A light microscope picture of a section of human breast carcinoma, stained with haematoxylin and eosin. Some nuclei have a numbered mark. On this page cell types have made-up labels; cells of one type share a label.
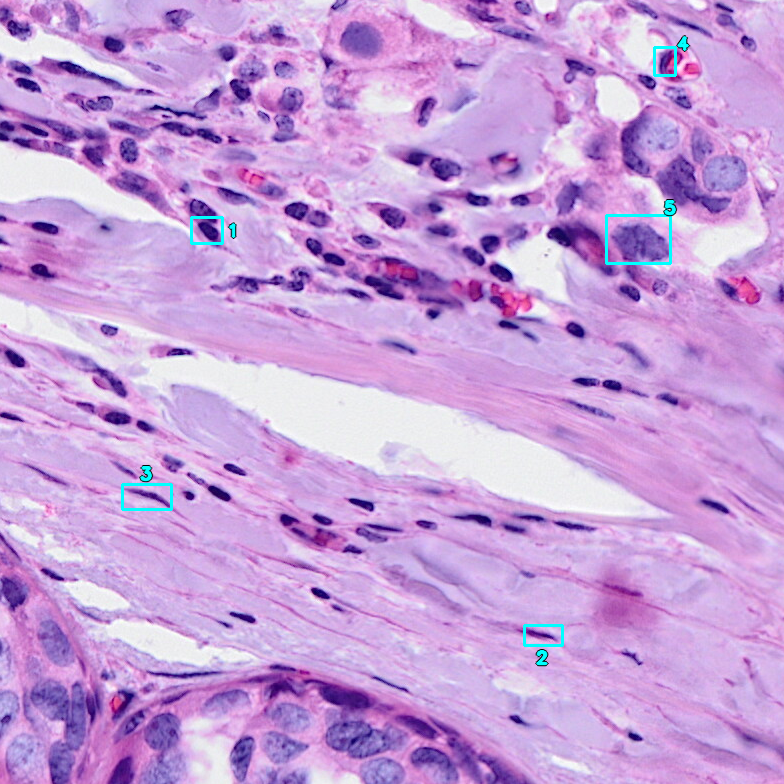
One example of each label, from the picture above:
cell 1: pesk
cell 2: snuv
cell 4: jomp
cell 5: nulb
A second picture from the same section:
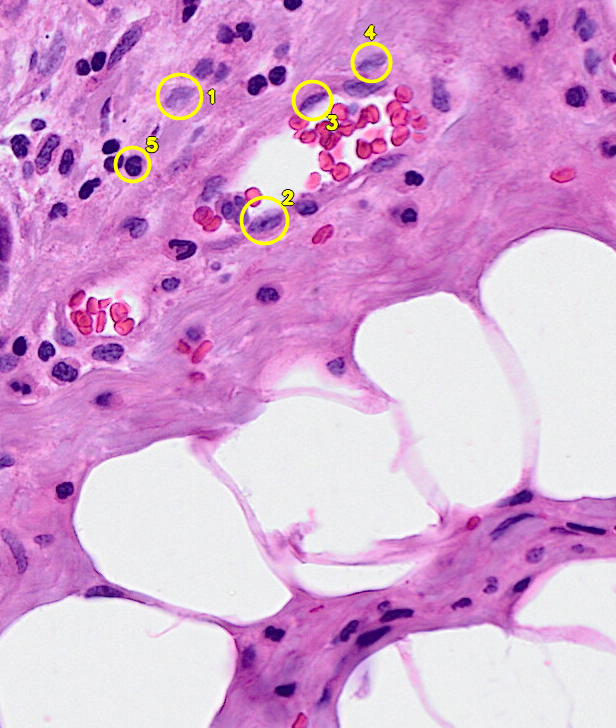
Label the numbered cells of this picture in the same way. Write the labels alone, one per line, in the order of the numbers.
snuv
jomp
jomp
snuv
pesk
